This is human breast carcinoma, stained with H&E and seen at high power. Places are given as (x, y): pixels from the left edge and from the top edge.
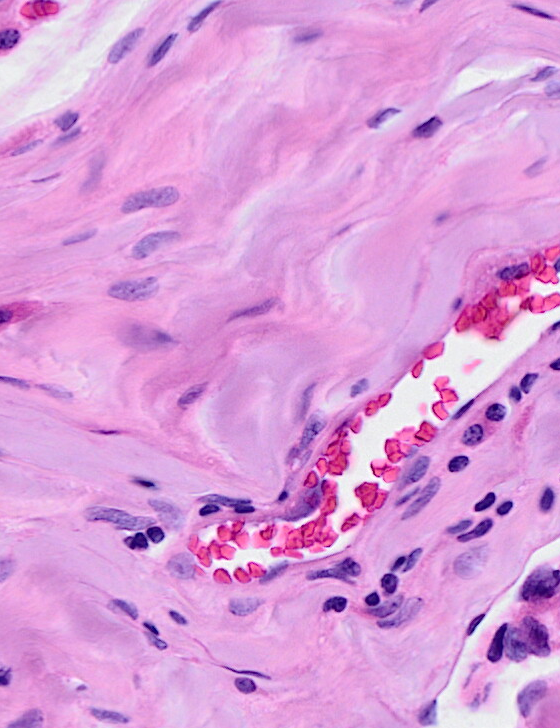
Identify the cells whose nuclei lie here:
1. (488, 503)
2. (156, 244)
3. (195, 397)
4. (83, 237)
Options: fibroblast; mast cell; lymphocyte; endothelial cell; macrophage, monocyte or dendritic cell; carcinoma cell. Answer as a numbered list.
1. lymphocyte
2. fibroblast
3. fibroblast
4. fibroblast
